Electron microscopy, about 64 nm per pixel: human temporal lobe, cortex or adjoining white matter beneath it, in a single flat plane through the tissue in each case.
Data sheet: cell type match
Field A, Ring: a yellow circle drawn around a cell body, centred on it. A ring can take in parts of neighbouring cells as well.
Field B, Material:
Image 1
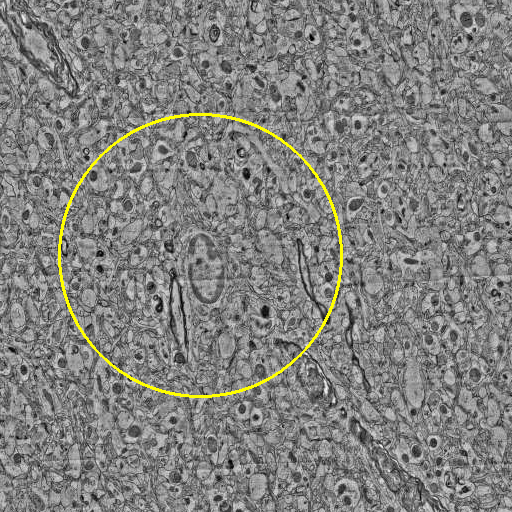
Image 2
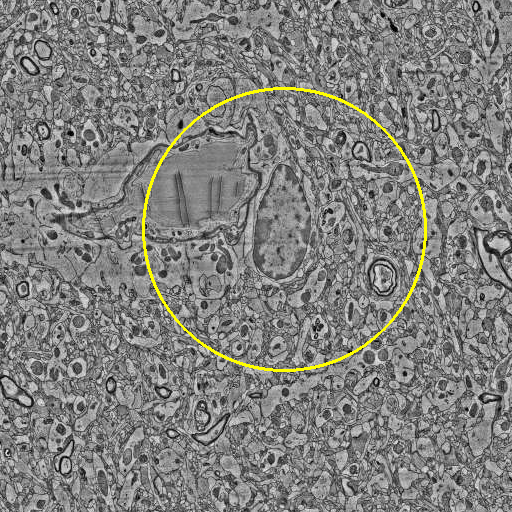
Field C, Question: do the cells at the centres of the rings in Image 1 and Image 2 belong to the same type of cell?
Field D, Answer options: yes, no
yes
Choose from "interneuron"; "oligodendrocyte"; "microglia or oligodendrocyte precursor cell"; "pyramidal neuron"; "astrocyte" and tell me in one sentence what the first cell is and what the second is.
Each of the two pictures has a microglial cell or oligodendrocyte precursor cell at the ring centre.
